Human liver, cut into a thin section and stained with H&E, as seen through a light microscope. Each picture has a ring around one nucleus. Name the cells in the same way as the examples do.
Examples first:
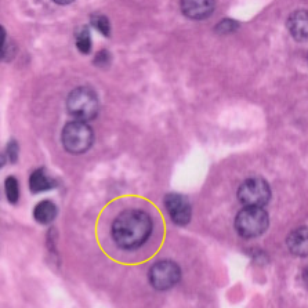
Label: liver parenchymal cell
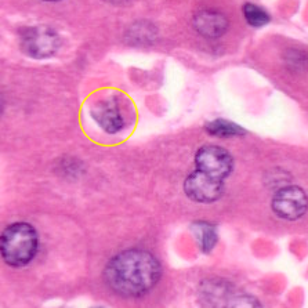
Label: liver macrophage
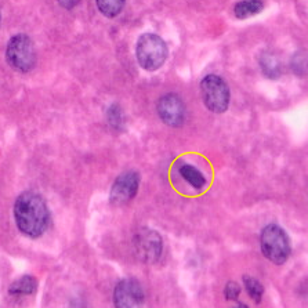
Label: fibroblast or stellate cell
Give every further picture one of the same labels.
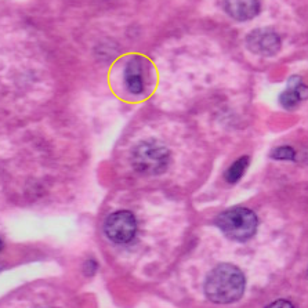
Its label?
liver macrophage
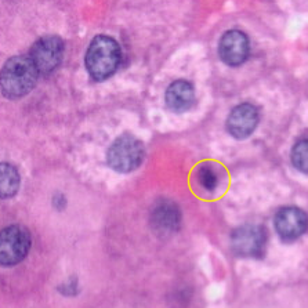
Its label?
fibroblast or stellate cell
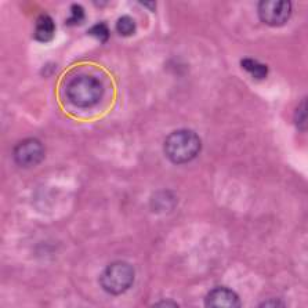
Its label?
liver parenchymal cell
